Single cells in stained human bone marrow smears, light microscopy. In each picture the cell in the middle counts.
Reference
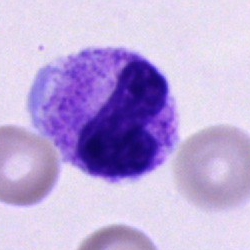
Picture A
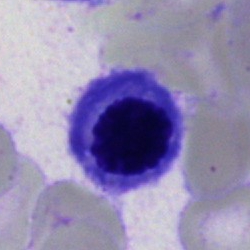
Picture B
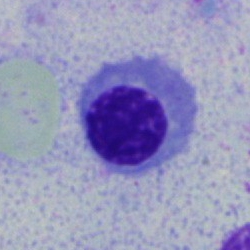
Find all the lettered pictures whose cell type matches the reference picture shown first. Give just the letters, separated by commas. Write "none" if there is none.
none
